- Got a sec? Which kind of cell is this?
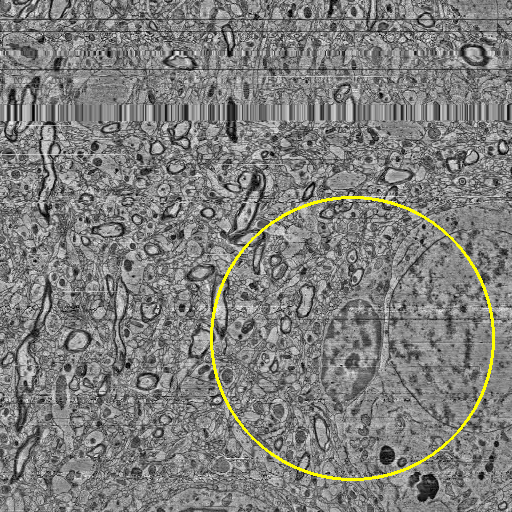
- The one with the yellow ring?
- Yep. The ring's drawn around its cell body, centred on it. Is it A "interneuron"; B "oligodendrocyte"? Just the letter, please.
B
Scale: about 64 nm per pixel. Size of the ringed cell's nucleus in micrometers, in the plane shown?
Roughly 6 by 4 micrometers, clearly longer than it is wide in this plane.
